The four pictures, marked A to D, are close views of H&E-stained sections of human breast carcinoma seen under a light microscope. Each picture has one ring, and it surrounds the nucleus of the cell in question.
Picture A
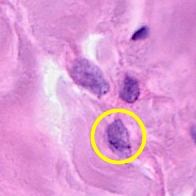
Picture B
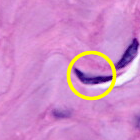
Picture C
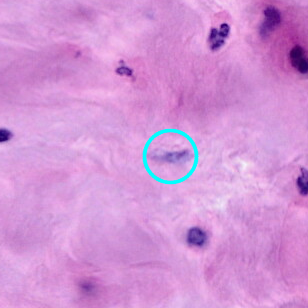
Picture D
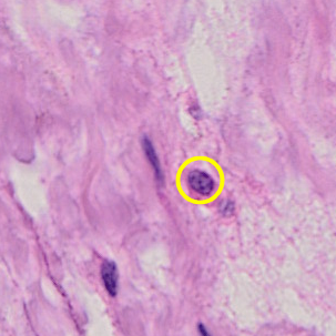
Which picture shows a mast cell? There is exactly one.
D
